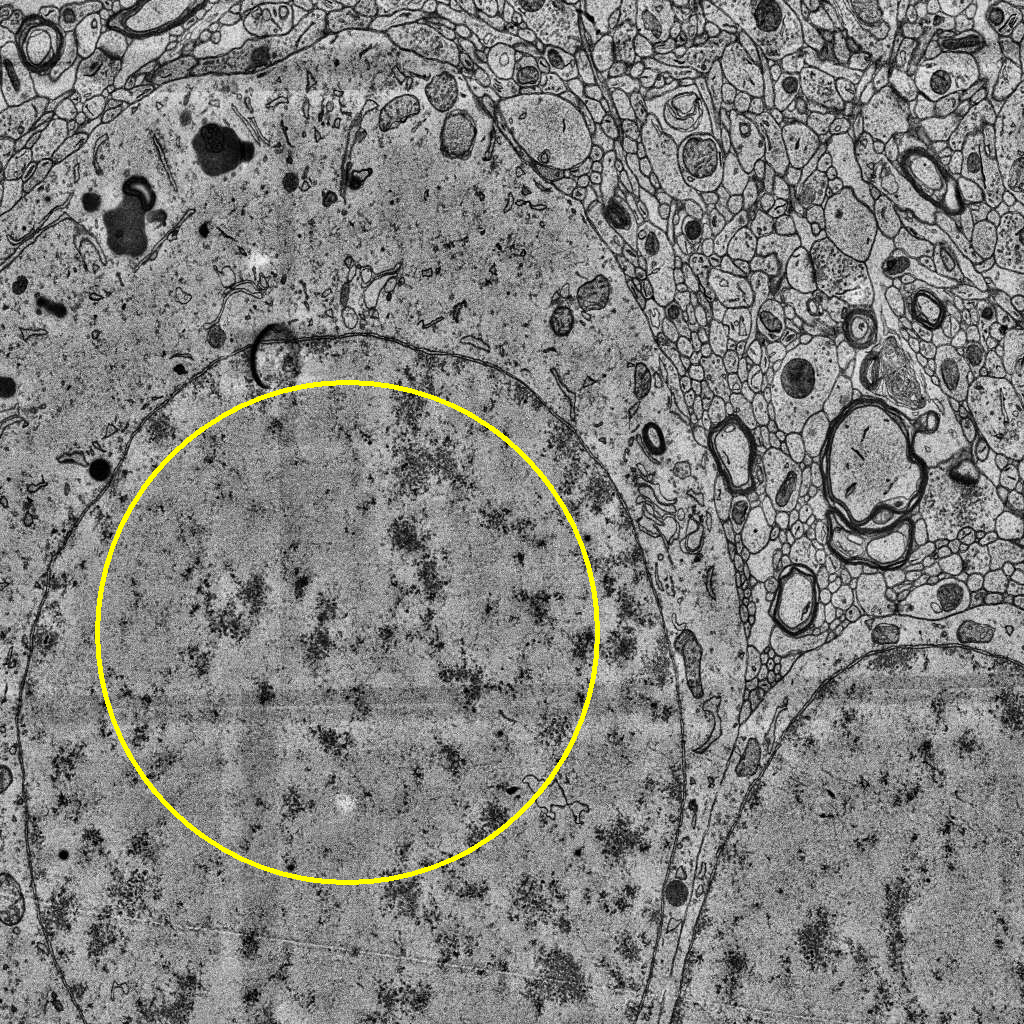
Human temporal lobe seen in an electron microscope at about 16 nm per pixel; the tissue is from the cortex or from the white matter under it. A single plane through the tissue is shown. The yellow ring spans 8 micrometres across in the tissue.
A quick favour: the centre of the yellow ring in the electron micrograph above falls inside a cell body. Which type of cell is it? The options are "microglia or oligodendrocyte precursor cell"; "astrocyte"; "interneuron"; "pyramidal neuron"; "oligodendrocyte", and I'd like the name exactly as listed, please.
pyramidal neuron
